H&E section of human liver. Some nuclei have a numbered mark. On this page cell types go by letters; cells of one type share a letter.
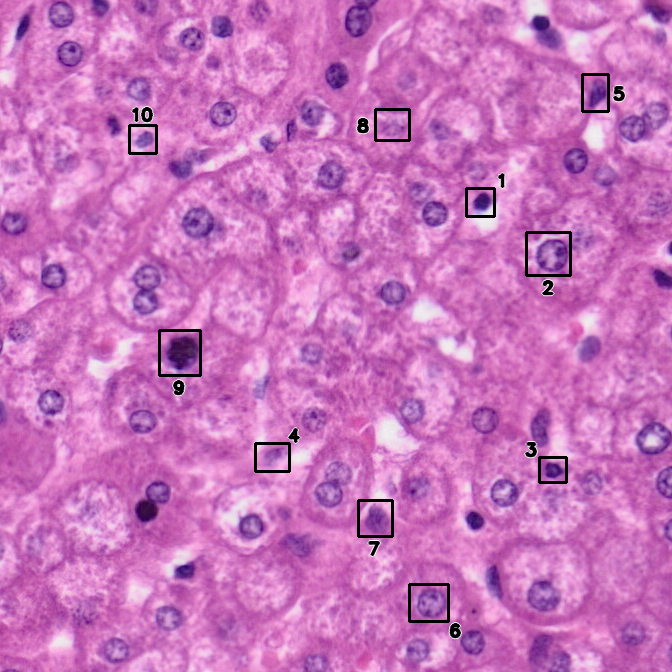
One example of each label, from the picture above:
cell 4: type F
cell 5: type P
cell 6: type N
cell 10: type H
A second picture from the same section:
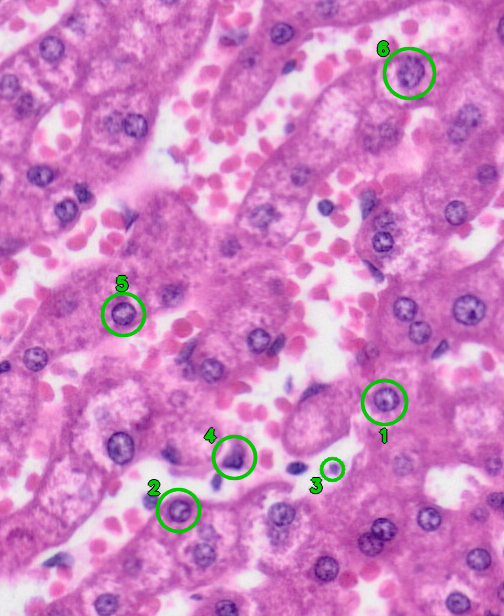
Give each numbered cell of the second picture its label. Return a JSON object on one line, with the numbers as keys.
{"1": "type N", "2": "type N", "3": "type H", "4": "type F", "5": "type N", "6": "type N"}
